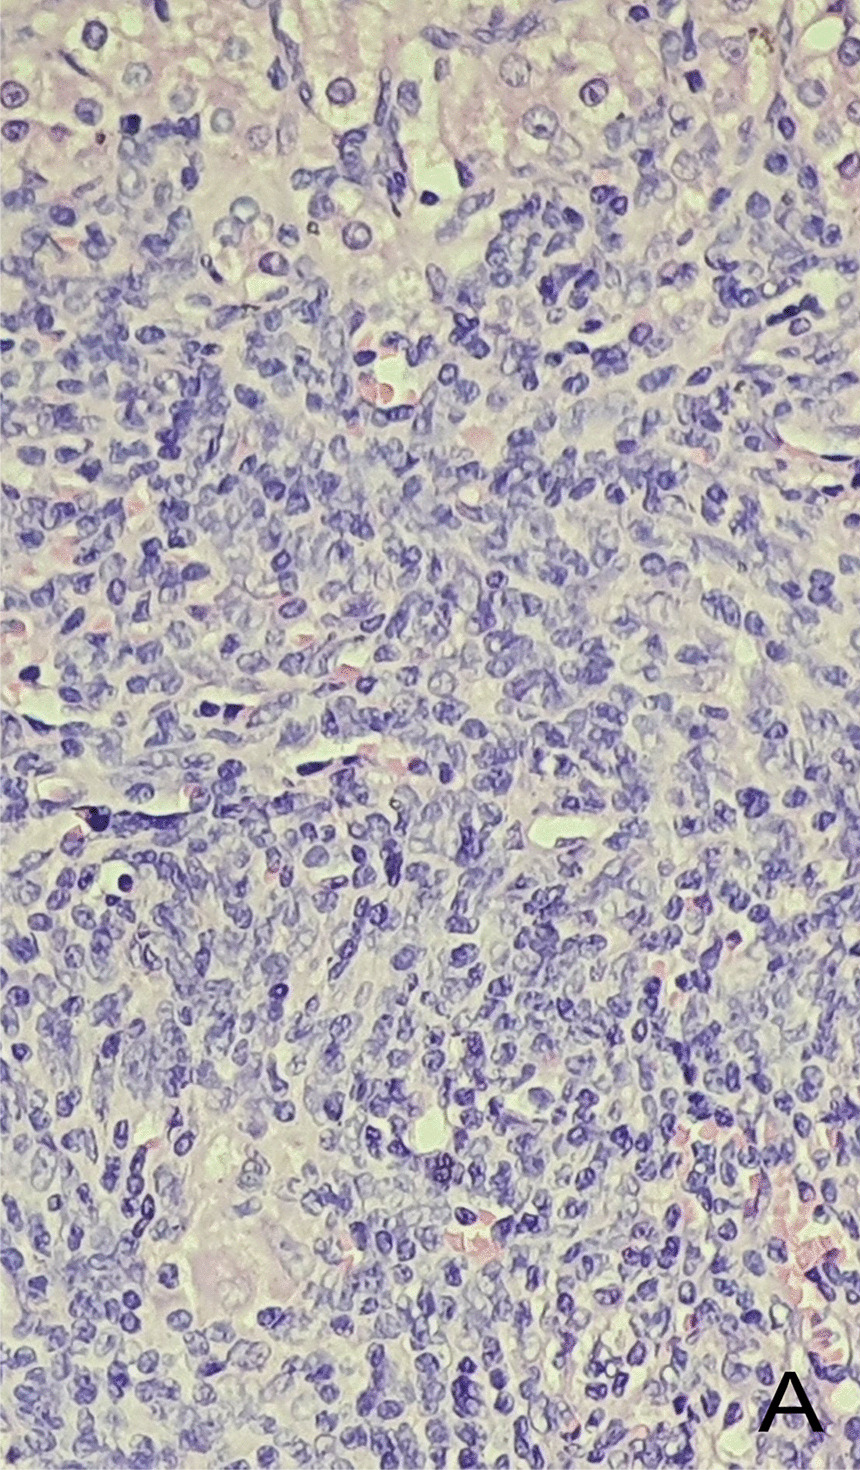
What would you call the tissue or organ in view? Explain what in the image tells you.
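The upper part holds large polygonal cells with ample pale cytoplasm and round central nuclei. These cells lie in cords with thin sinusoid-like spaces between them. On this evidence: liver parenchyma.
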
